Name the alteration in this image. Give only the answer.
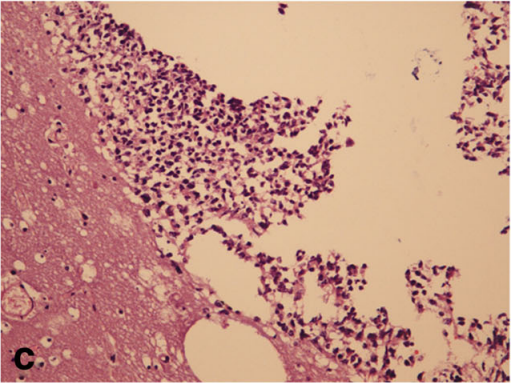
tumor cells spreading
